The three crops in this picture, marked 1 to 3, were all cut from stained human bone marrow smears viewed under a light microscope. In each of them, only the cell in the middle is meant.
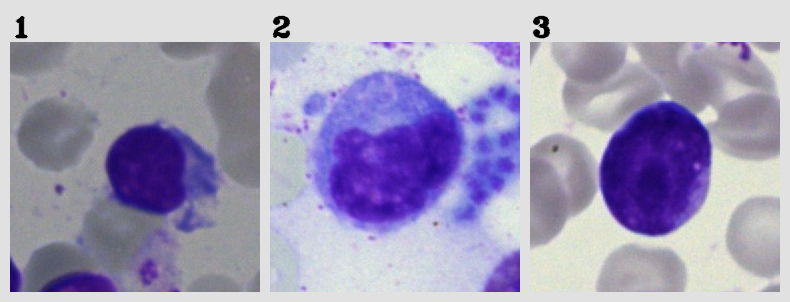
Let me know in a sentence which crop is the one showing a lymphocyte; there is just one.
Among the crops, only crop 1 contains a lymphocyte.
